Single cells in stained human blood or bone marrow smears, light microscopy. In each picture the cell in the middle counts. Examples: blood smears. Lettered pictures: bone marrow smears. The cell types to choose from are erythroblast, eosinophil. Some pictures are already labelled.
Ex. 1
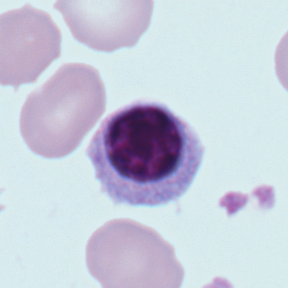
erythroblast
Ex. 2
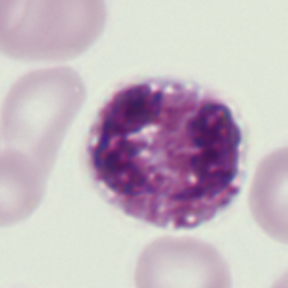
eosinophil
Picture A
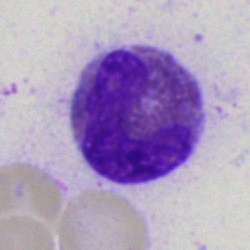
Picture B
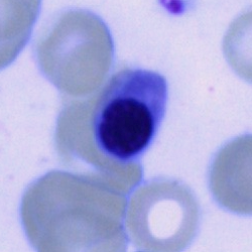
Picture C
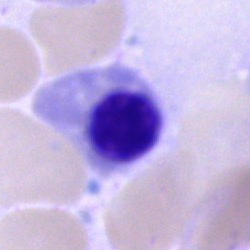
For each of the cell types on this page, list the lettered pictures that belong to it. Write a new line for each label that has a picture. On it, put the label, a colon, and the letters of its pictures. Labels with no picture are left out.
erythroblast: B, C
eosinophil: A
